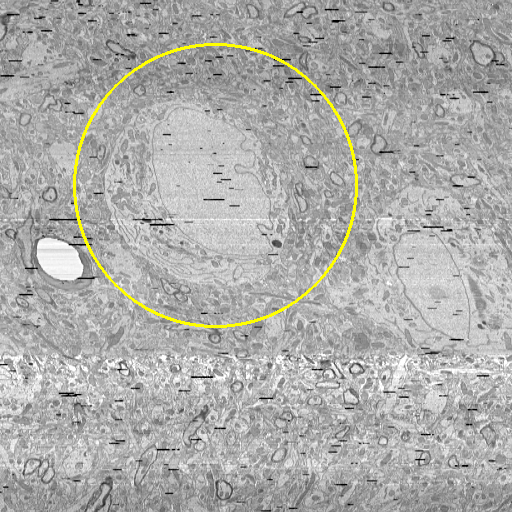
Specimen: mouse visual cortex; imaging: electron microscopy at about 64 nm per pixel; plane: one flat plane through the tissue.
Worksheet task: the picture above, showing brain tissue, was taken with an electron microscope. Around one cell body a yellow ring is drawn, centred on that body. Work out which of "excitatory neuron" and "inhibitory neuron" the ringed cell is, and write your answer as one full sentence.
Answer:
It is an inhibitory neuron whose cell body lies at the centre of the yellow ring.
